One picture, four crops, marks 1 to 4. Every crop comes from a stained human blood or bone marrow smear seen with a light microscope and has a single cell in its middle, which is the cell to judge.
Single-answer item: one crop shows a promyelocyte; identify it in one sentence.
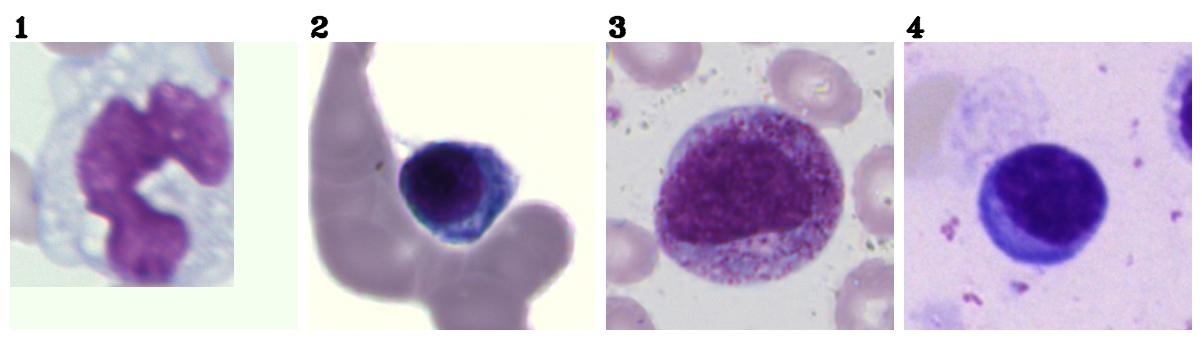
Among these crops, crop 3 holds a promyelocyte.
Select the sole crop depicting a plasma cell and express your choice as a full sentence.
Crop 2 alone, of all the crops, shows a plasma cell.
